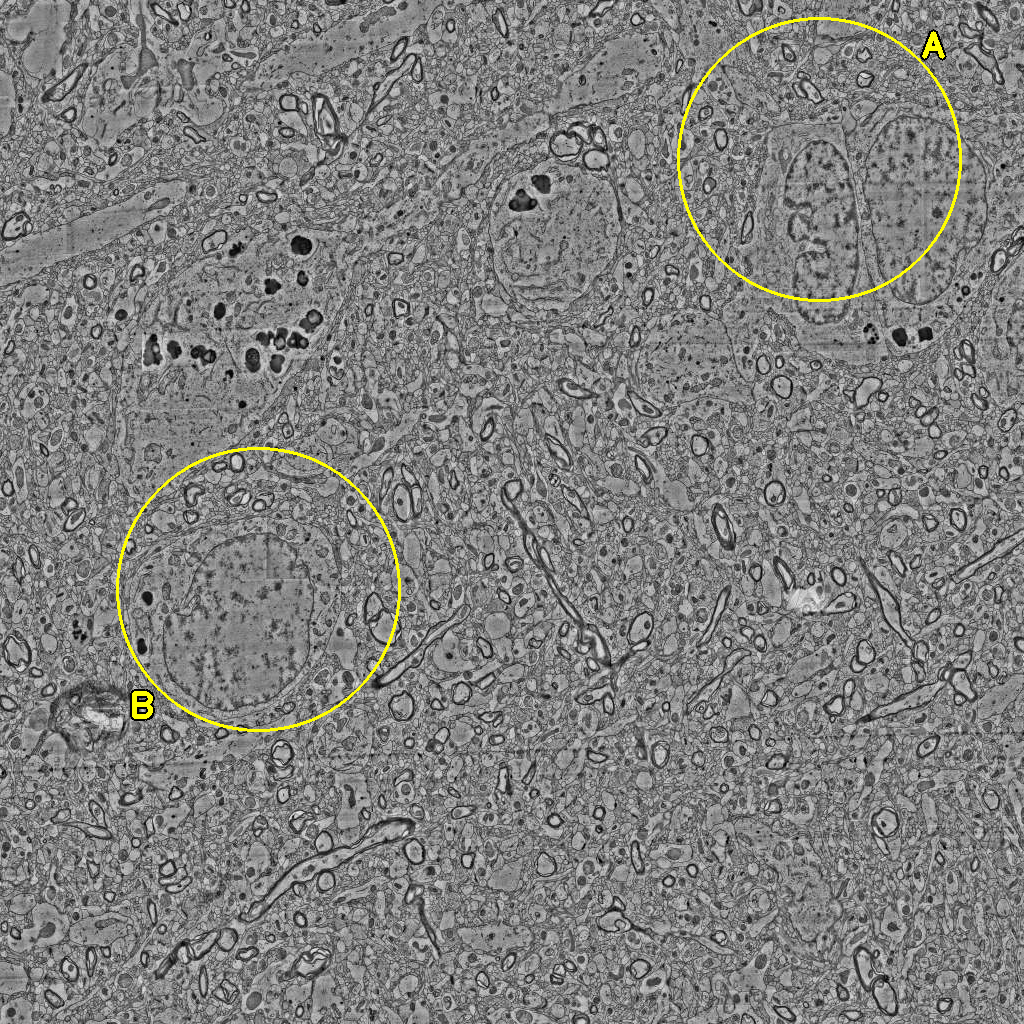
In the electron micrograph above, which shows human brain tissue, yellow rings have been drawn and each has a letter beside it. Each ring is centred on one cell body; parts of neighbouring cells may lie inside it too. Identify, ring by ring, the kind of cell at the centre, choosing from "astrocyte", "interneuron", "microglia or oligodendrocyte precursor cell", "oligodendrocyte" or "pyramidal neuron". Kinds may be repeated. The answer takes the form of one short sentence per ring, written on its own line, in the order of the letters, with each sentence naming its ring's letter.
Inside ring A, at its centre, is a microglial cell or oligodendrocyte precursor cell.
Inside ring B, at its centre, is a pyramidal neuron.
